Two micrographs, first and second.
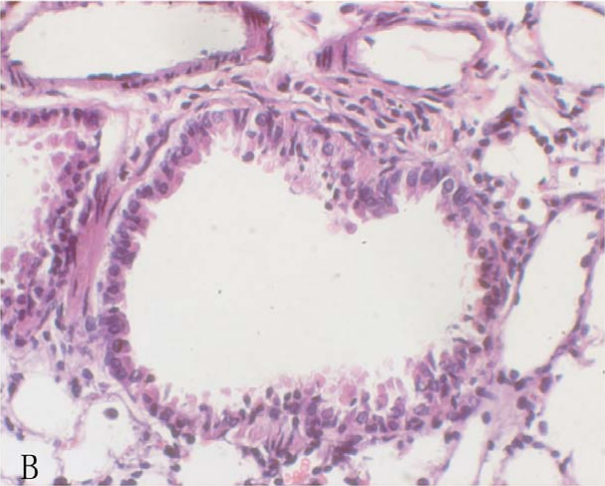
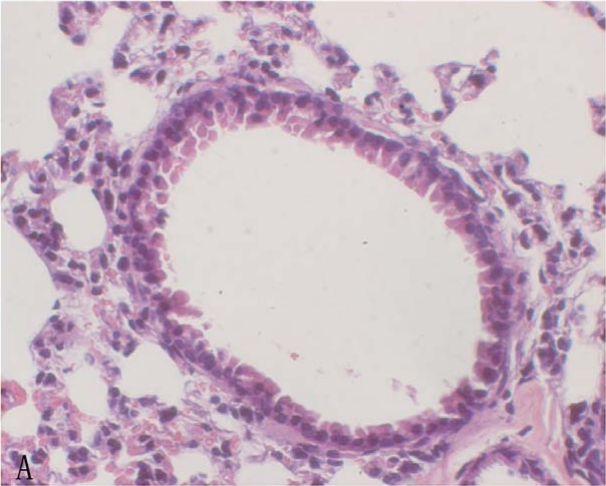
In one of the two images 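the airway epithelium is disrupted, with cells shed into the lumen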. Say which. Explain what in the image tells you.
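First image: the lining is irregular, with loose cells and debris projecting into the lumen. Second image: a smooth, continuous layer of columnar epithelial cells lines the lumen. The answer: the first image.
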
